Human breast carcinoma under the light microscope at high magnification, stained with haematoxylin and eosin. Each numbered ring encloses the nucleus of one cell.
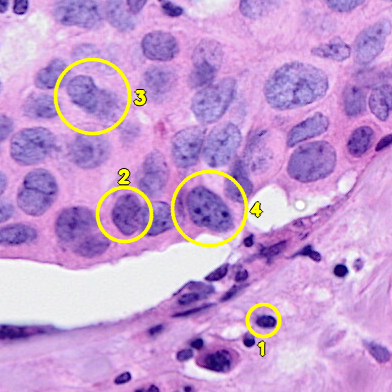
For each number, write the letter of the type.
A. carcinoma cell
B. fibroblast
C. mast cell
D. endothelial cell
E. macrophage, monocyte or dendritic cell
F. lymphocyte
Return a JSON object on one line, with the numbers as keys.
{"1": "F", "2": "A", "3": "A", "4": "A"}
